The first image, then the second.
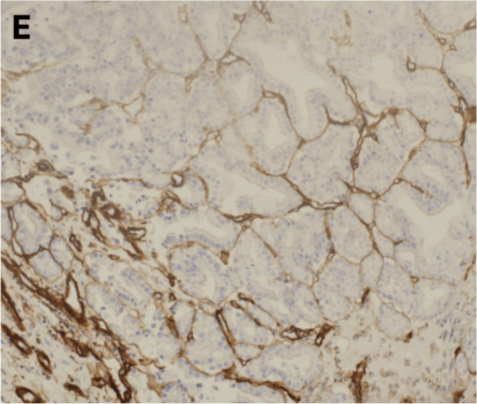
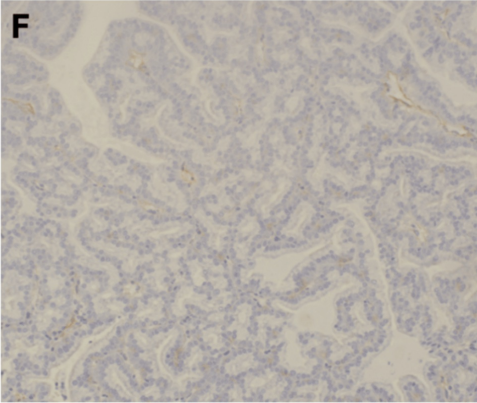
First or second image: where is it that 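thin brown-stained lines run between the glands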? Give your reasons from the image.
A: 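The first image. First image: a network of thin brown lines outlines the glands, heavier in the lower left.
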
